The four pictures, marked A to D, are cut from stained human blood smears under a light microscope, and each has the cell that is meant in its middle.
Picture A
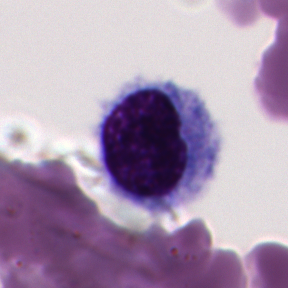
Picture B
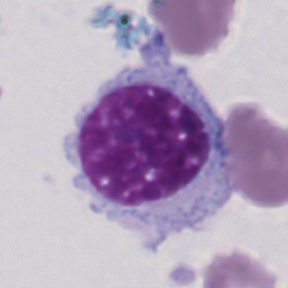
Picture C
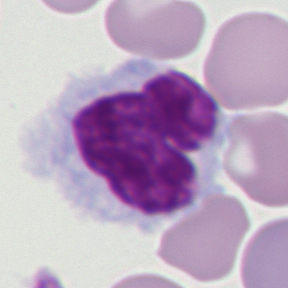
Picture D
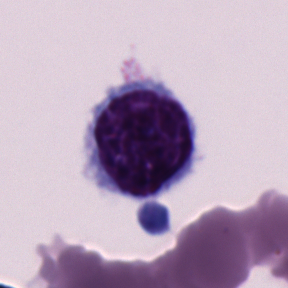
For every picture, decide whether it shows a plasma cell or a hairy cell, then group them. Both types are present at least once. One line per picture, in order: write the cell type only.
hairy cell
plasma cell
hairy cell
hairy cell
